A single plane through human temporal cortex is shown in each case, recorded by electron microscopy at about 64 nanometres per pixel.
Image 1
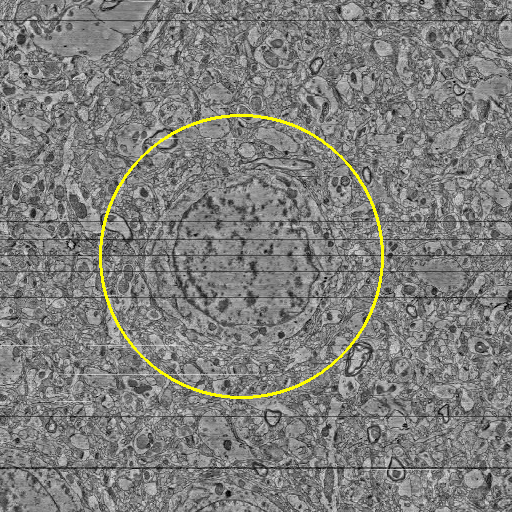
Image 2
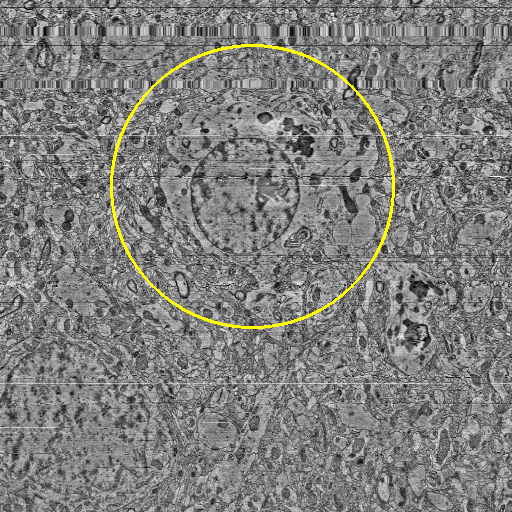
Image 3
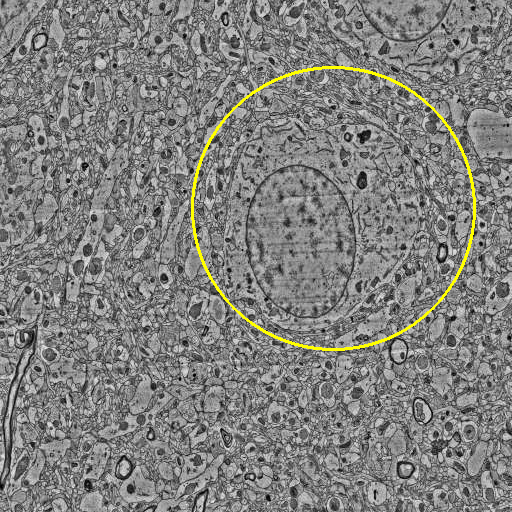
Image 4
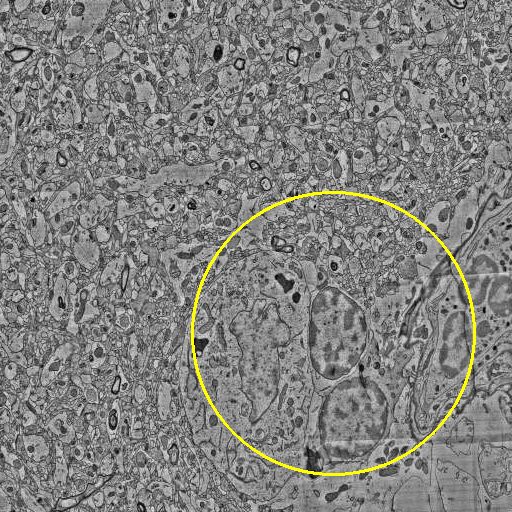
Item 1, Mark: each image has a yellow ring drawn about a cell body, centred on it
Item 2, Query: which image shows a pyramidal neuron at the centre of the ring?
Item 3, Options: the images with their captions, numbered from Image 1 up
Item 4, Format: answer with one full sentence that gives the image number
My answer is image 3, where the cell at the ring's centre fits.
